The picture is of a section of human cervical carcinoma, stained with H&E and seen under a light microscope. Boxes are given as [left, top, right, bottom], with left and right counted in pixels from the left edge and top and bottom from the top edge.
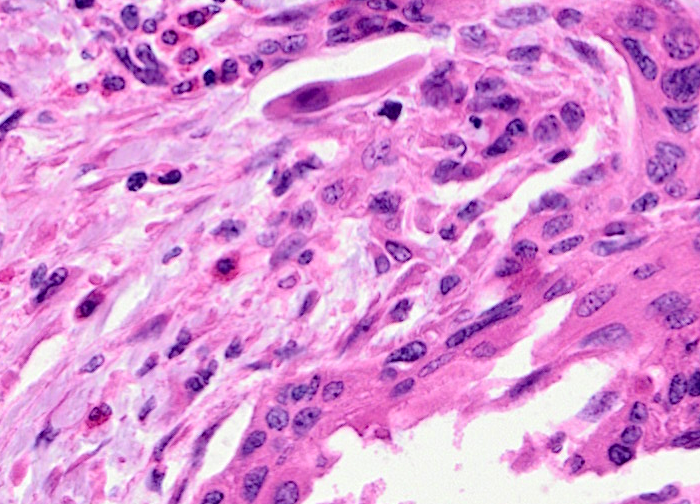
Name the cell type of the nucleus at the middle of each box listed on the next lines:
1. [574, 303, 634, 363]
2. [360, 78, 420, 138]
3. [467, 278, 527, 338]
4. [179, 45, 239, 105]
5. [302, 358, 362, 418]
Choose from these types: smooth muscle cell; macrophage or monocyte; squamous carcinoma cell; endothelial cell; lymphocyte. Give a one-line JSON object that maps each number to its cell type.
{"1": "squamous carcinoma cell", "2": "lymphocyte", "3": "squamous carcinoma cell", "4": "lymphocyte", "5": "squamous carcinoma cell"}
